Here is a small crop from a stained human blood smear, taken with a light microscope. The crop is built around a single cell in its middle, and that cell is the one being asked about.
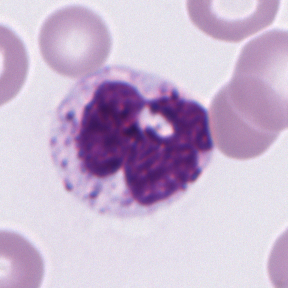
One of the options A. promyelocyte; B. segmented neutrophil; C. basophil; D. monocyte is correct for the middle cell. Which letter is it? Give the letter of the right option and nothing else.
C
